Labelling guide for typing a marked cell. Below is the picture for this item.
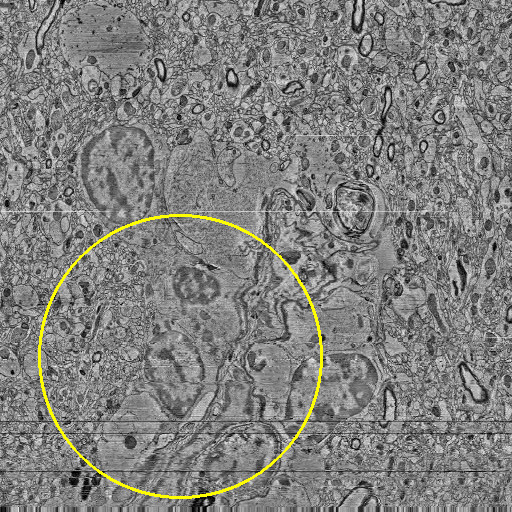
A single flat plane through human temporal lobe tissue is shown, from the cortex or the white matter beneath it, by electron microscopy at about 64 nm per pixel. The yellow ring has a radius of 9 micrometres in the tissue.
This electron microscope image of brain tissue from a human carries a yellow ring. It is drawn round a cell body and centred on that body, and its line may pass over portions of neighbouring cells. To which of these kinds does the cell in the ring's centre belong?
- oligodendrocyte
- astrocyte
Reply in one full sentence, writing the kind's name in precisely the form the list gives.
Here we have an oligodendrocyte at the centre of the yellow ring in the picture.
